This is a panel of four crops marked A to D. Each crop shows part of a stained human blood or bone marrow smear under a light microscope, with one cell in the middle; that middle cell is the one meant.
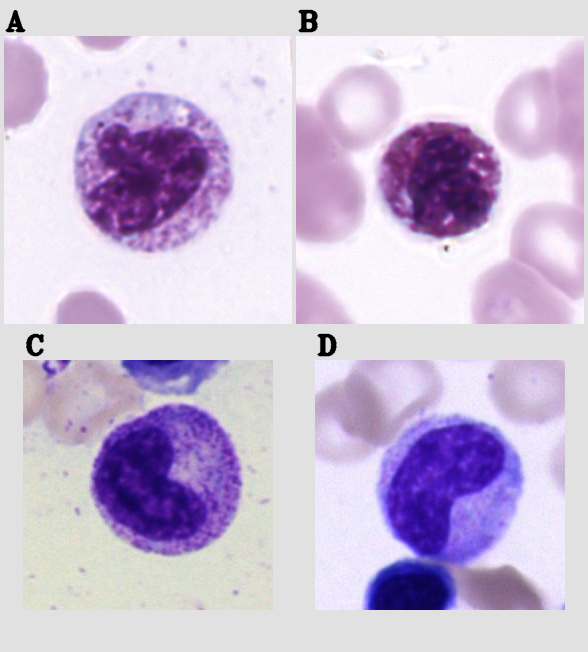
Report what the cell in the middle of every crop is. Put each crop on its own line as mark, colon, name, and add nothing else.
A: band neutrophil
B: eosinophil
C: metamyelocyte
D: metamyelocyte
